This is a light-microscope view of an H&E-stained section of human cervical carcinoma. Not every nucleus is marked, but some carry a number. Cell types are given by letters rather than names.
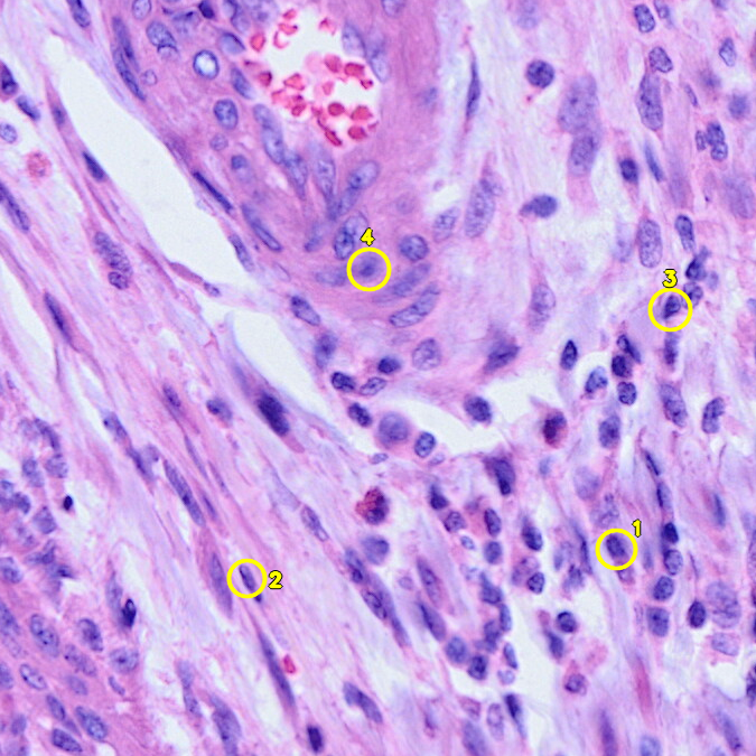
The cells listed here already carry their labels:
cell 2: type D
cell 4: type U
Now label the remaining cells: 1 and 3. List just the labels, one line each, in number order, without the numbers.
type D
type D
